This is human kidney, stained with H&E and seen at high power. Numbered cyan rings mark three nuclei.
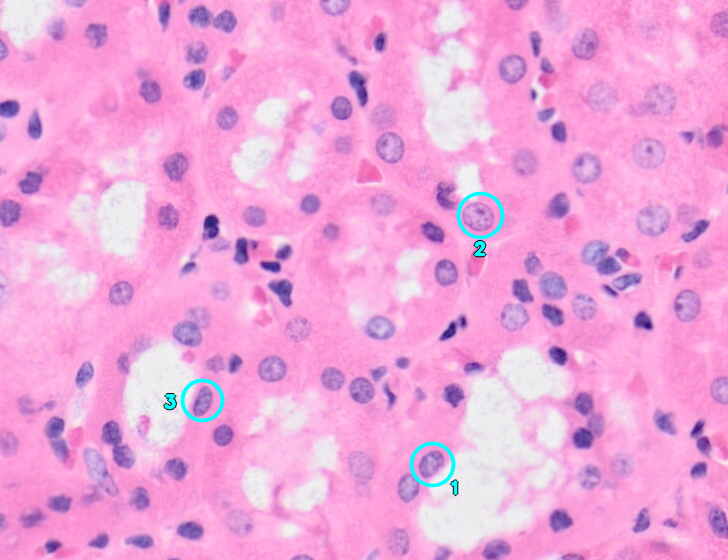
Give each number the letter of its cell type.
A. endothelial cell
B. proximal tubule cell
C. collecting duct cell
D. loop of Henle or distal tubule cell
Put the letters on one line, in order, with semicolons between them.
D; B; D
